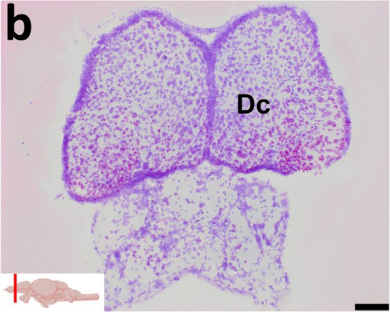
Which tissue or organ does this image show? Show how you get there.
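Two paired rounded hemispheres side by side, separated by a midline. Cell bodies scattered throughout the hemispheres rather than in a single thin layer. So: telencephalon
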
